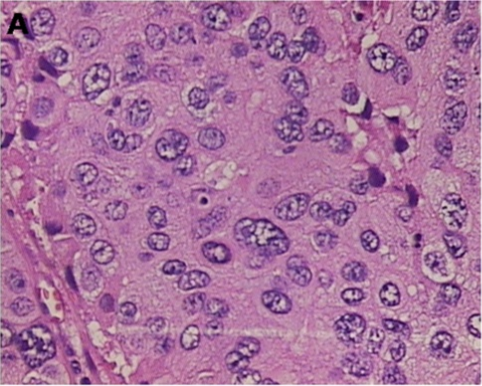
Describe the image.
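A solid sheet of large epithelial cells fills the field, with no lumens or glands formed between them. Their nuclei are big, round to oval and strikingly unequal in size, with coarse clumped chromatin and distinct nucleoli, while the pink cytoplasm is abundant and the cell borders are faint. Thin strands of stroma with small dark elongated nuclei run along the edges. These are atypical, polymorphic epithelial cells of a highly cellular malignant tumour.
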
